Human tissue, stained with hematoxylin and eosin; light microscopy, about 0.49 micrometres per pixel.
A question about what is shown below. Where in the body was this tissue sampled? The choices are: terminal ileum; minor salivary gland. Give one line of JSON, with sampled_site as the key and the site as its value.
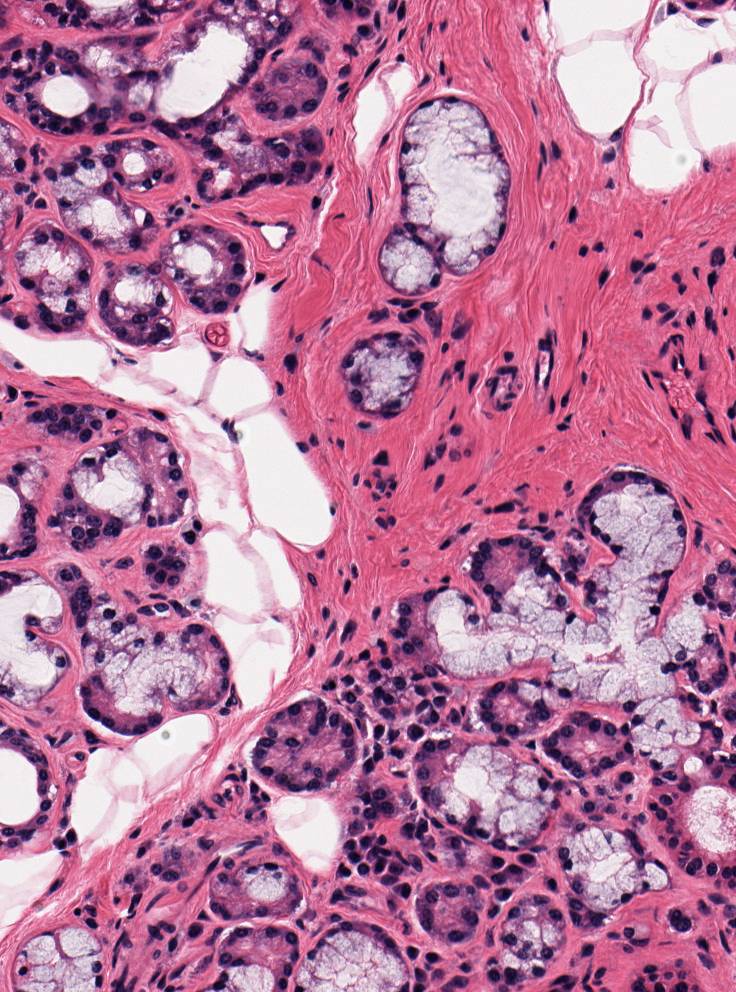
{"sampled_site": "minor salivary gland"}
